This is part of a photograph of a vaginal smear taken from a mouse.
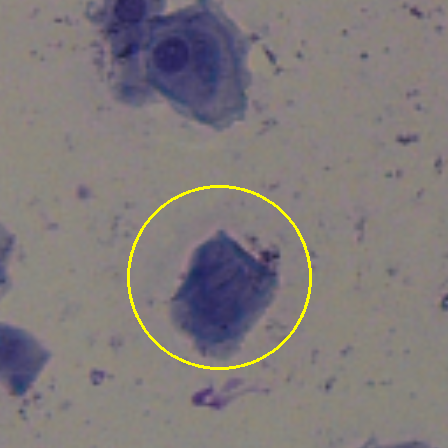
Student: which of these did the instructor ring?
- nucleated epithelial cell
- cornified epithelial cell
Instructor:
The cell I ringed is a cornified epithelial cell.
